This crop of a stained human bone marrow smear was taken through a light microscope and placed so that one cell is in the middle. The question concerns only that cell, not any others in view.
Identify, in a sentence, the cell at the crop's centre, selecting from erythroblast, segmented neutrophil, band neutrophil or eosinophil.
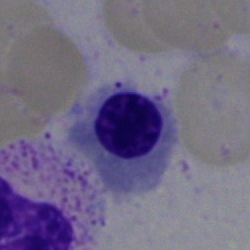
The cell at the middle of the frame should be recorded as an erythroblast.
